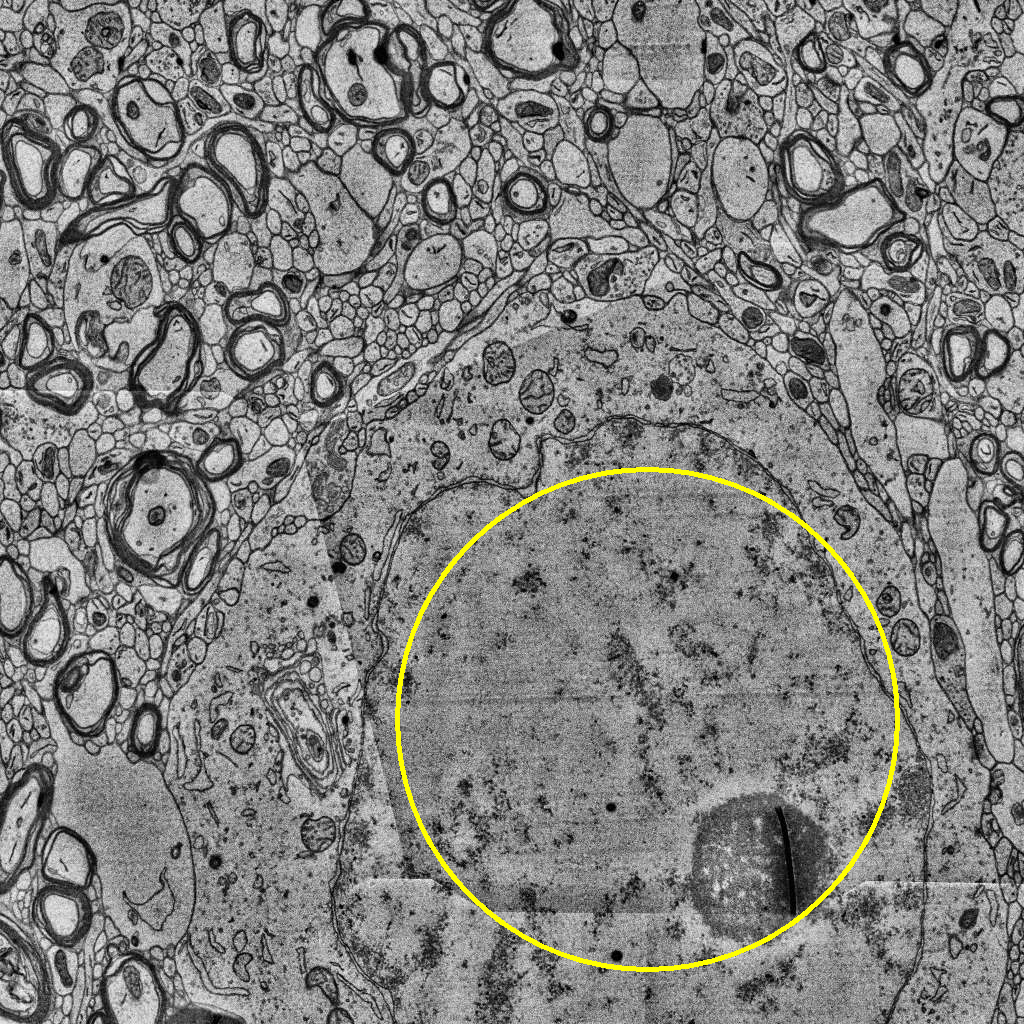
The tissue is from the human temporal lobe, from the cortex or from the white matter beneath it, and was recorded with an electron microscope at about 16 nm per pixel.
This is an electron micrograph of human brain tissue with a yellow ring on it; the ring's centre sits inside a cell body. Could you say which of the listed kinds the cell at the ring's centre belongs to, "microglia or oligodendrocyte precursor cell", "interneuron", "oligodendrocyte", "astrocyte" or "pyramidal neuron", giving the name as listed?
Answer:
interneuron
